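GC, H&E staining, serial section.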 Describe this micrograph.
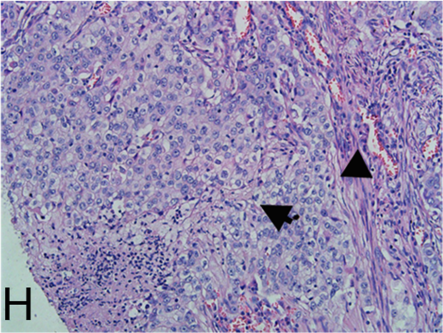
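The tumor cells are polygonal with large, pale, round nuclei and pale pink-lilac cytoplasm, while the fibroblasts on the right are elongated, run in parallel and lie alongside small vessels containing red blood cells. A cluster of small, darkly staining round cells lies at the lower left.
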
